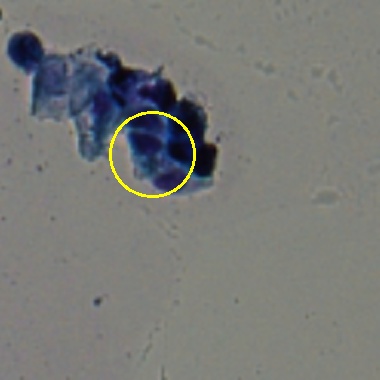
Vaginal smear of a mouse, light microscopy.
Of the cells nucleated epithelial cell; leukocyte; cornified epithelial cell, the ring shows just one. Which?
The ring shows a nucleated epithelial cell.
